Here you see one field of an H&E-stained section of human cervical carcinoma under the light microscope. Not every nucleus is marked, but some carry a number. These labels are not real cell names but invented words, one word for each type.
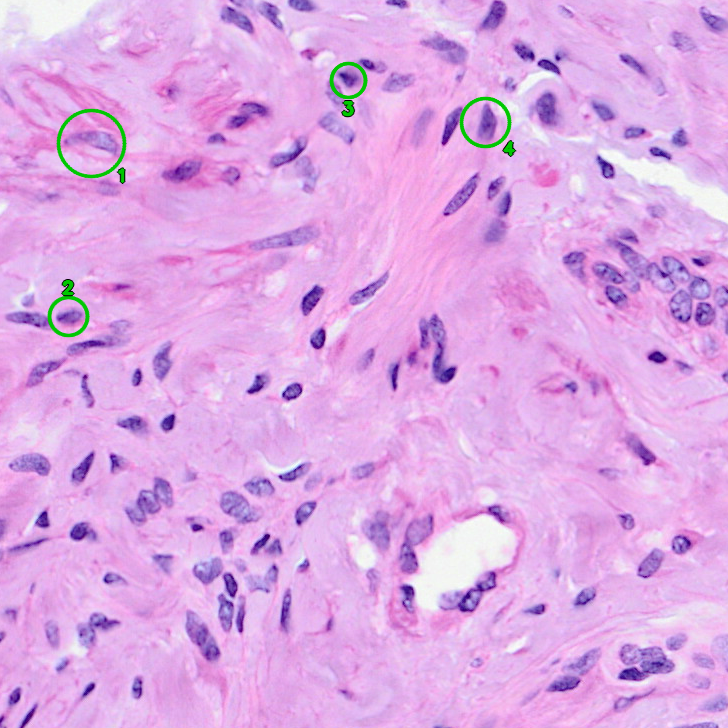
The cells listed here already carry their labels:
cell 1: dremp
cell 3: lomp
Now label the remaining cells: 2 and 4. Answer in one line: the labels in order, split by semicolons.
lomp; lomp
